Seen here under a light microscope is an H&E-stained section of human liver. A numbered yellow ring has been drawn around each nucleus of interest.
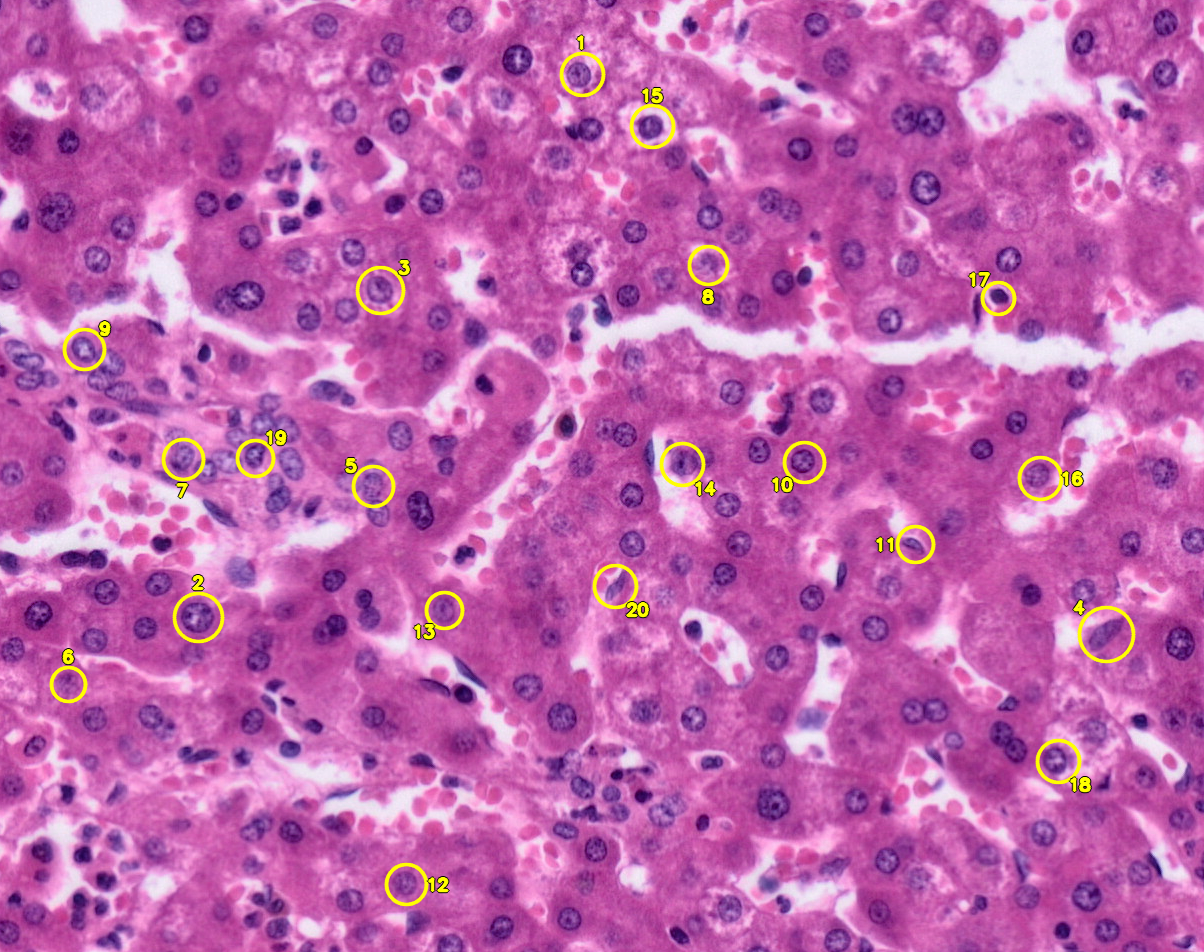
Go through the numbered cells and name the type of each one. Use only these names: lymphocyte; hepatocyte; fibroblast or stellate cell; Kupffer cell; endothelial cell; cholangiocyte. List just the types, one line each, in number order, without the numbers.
hepatocyte
hepatocyte
hepatocyte
Kupffer cell
cholangiocyte
hepatocyte
cholangiocyte
hepatocyte
cholangiocyte
hepatocyte
endothelial cell
hepatocyte
hepatocyte
Kupffer cell
hepatocyte
hepatocyte
lymphocyte
hepatocyte
cholangiocyte
endothelial cell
